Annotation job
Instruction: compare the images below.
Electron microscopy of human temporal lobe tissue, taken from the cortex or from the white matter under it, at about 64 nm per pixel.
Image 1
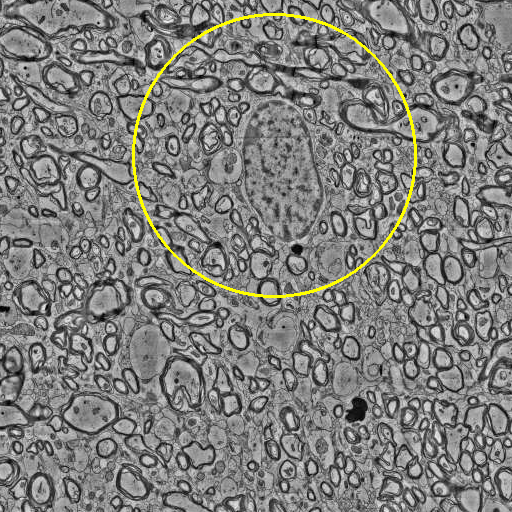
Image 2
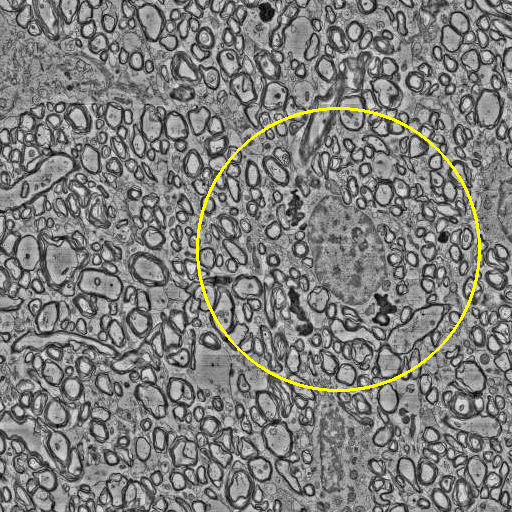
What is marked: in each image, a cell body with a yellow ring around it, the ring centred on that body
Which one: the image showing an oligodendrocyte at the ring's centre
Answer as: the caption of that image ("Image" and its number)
Image 2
